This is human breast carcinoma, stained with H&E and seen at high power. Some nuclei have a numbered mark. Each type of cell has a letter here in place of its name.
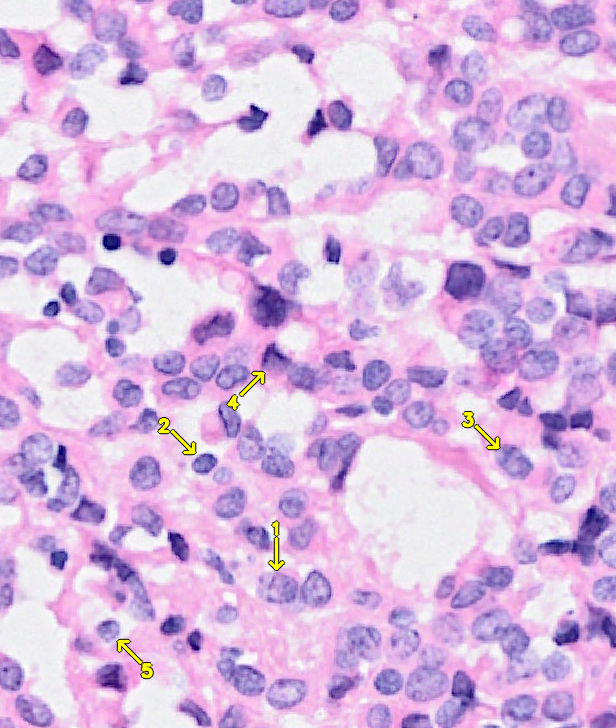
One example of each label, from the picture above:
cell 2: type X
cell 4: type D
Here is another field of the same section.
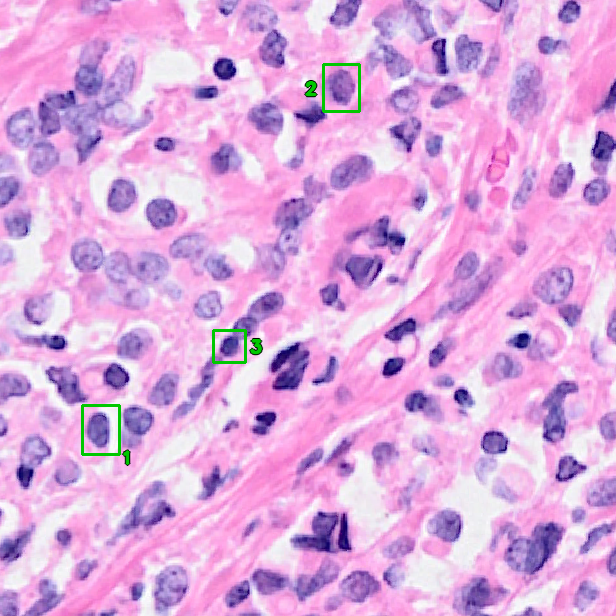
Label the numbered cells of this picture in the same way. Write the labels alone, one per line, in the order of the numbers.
type D
type D
type X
